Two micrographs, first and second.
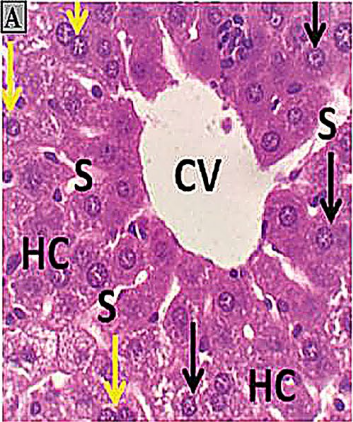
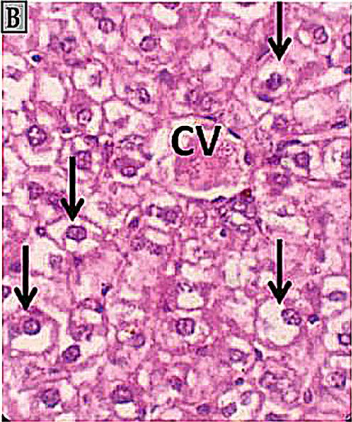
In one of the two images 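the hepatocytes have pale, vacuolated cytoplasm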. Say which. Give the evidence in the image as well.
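Second image: most cells have pale, clear, empty-looking cytoplasm.
Hence: the second image.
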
